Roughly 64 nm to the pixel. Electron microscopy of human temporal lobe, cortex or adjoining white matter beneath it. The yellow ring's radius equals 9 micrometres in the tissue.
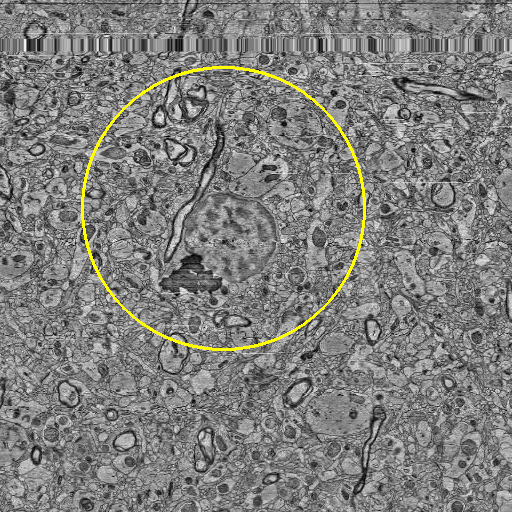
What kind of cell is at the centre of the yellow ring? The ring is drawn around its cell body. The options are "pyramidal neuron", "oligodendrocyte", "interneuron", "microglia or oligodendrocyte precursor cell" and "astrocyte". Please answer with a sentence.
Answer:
The yellow ring marks the cell body of an oligodendrocyte.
